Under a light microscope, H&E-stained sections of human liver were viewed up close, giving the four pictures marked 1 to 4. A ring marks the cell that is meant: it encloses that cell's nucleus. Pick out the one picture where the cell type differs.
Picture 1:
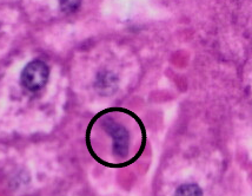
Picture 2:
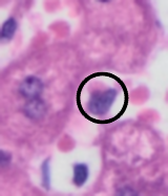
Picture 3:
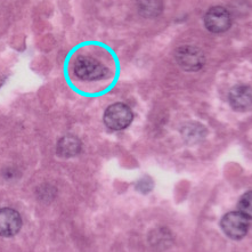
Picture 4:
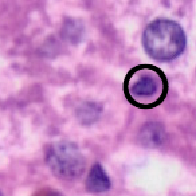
4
